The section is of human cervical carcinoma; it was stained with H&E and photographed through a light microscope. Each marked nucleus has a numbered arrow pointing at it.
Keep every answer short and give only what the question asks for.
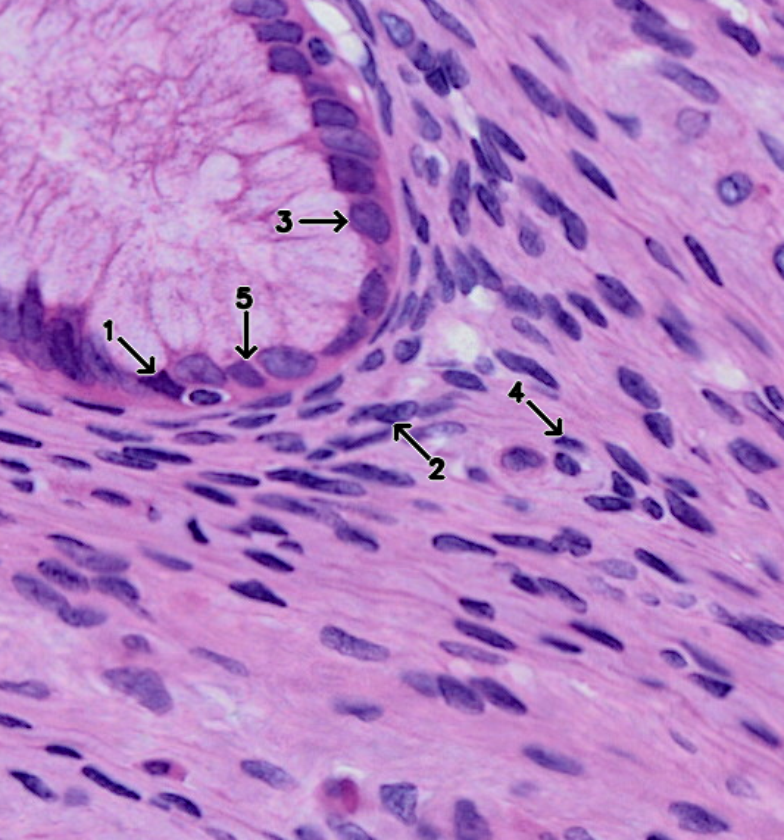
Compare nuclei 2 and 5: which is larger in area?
2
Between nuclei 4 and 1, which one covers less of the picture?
4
